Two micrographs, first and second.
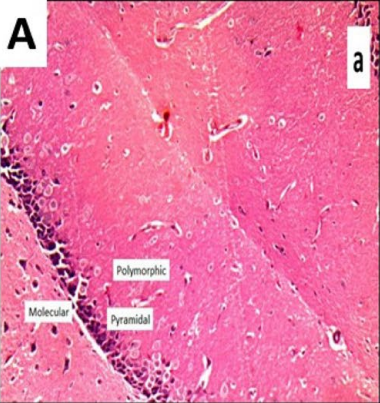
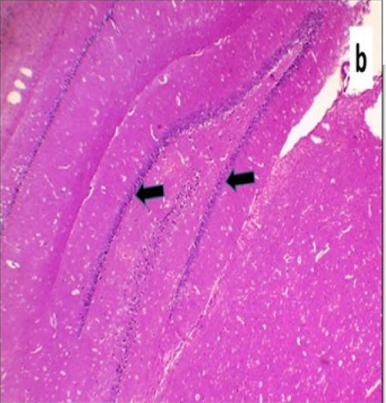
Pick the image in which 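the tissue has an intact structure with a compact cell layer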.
The first image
